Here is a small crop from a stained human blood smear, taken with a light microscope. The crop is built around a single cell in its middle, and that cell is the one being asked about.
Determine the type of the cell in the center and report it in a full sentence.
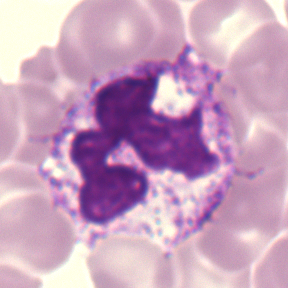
The cell centred in this crop is categorized as a neutrophil.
